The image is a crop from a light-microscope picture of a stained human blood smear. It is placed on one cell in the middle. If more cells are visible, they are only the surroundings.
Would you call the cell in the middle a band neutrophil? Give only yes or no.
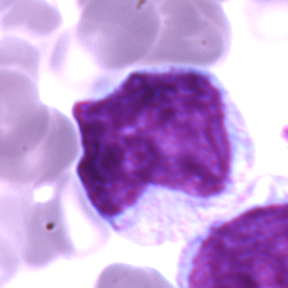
yes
